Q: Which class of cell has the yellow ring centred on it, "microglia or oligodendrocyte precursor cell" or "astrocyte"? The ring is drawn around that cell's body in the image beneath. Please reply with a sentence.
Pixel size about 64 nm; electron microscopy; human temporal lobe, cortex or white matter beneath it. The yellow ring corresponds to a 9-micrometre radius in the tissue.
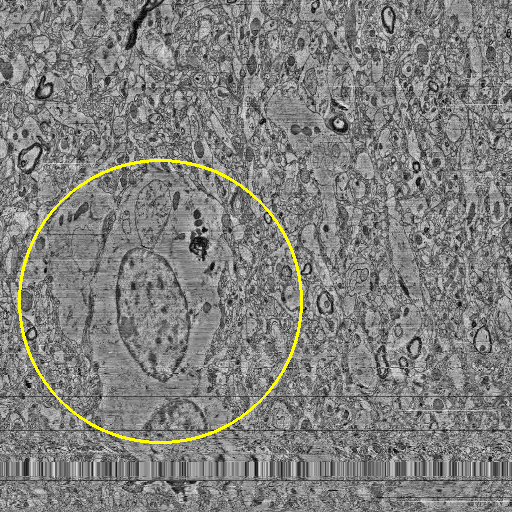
It is centred on an astrocyte.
